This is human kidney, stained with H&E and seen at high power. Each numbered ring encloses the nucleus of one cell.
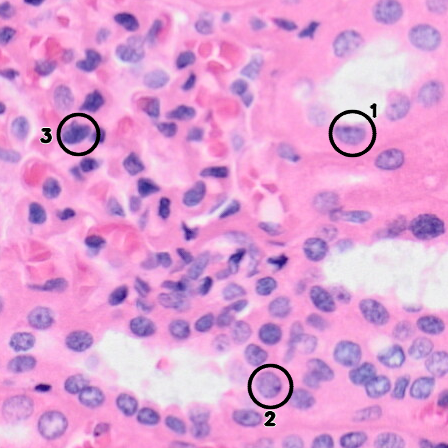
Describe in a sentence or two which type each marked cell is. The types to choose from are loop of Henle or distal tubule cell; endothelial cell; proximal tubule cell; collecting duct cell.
Cell 1 is a loop of Henle or distal tubule cell, cell 2 is a loop of Henle or distal tubule cell and cell 3 is an endothelial cell.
